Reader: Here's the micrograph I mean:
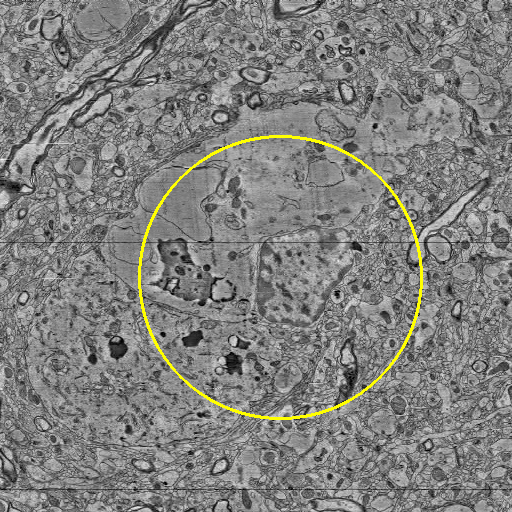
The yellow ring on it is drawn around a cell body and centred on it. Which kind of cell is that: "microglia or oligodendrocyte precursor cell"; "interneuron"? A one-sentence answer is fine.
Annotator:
The ring is centred on a microglial cell or oligodendrocyte precursor cell.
